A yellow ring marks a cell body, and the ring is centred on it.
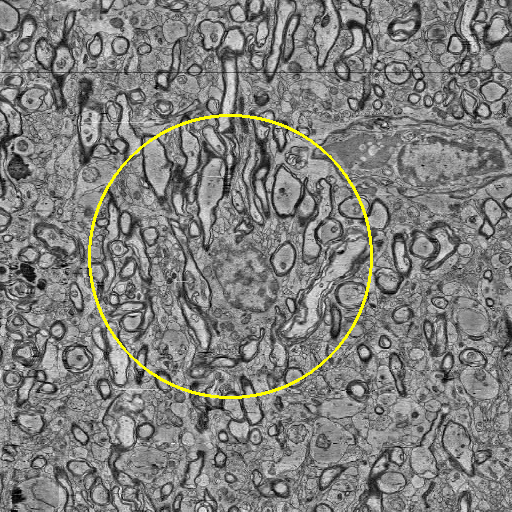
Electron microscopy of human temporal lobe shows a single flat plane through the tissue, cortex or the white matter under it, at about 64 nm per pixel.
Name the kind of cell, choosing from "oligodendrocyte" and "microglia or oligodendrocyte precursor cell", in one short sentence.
The marked cell body belongs to an oligodendrocyte.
